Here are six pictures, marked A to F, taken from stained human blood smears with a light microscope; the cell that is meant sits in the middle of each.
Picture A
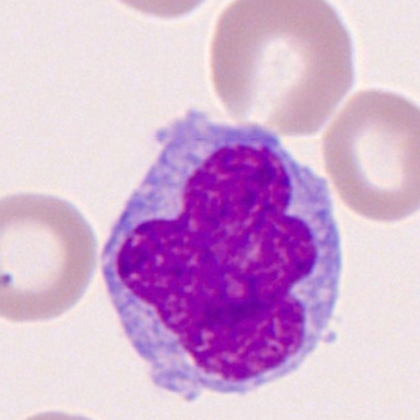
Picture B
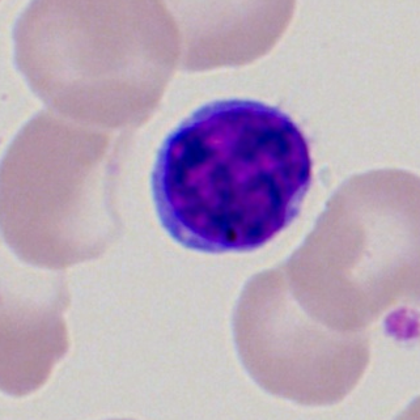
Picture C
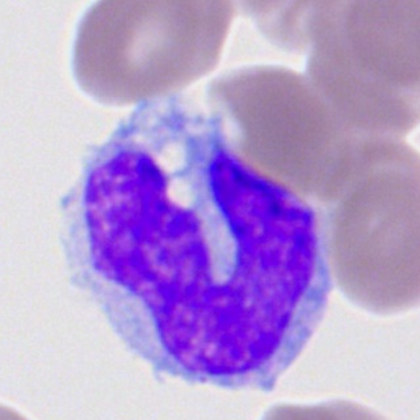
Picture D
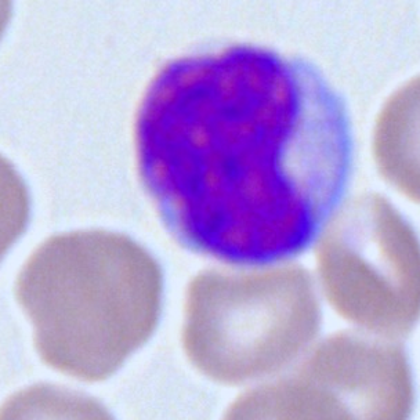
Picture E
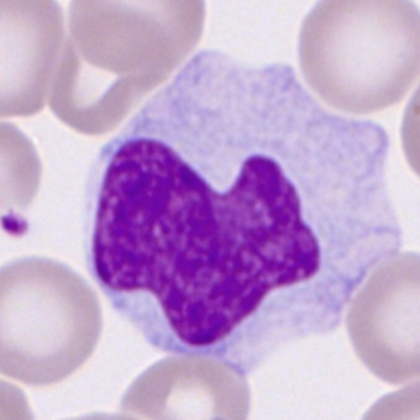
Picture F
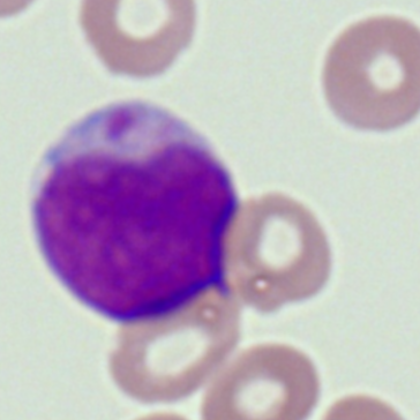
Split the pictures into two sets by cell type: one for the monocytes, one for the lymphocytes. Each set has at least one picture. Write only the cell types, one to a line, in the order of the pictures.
monocyte
lymphocyte
monocyte
lymphocyte
monocyte
lymphocyte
